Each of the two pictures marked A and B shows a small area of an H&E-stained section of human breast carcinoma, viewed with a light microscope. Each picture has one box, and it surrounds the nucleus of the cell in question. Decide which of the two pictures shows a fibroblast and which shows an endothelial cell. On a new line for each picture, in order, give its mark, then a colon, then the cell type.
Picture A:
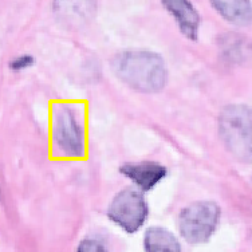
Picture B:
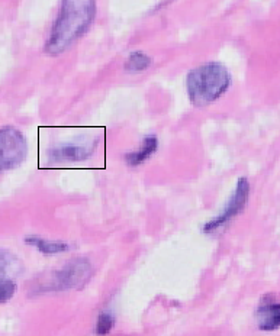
A: endothelial cell
B: fibroblast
